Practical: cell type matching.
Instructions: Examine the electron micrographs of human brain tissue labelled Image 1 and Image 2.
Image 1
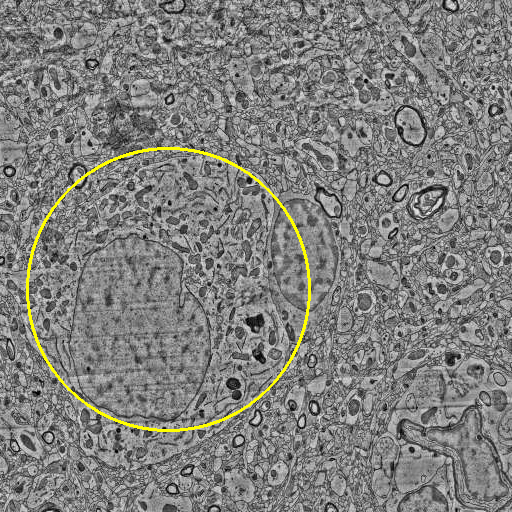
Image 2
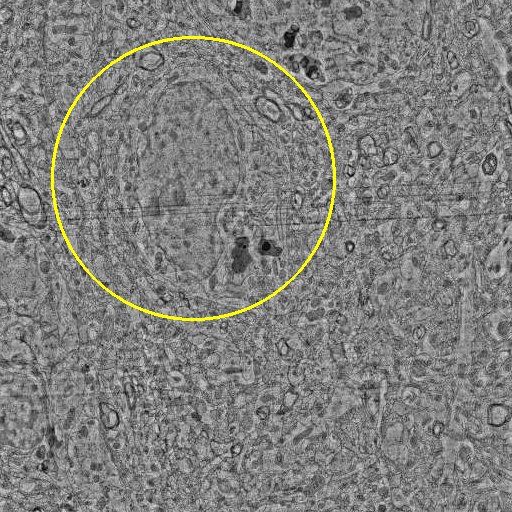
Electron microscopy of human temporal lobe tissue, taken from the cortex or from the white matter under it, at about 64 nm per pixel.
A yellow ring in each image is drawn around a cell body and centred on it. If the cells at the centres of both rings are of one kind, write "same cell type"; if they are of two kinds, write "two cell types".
same cell type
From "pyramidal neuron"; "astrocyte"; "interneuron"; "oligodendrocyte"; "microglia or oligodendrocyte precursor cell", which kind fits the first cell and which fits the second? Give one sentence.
The second cell is an interneuron, just as the first is.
